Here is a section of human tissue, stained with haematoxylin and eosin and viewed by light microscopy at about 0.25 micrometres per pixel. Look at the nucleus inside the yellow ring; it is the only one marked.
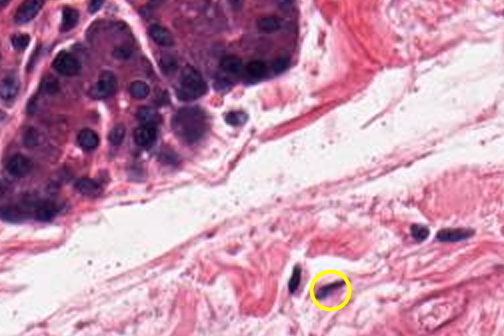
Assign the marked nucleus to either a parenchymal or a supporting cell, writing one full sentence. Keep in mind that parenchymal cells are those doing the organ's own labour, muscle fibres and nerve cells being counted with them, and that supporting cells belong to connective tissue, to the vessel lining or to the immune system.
The marked nucleus is part of a supporting cell.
